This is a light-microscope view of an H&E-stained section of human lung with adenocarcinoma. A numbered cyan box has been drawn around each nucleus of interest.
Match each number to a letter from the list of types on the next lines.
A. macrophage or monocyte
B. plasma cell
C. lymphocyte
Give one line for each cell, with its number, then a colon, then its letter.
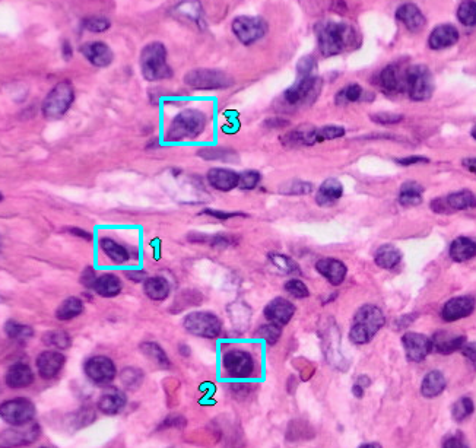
1: C
2: B
3: C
